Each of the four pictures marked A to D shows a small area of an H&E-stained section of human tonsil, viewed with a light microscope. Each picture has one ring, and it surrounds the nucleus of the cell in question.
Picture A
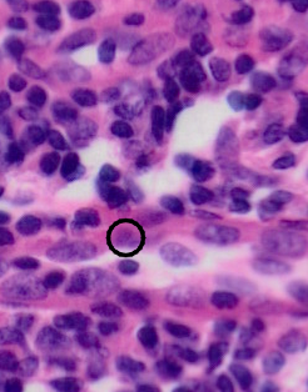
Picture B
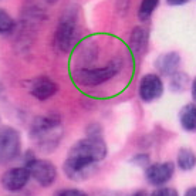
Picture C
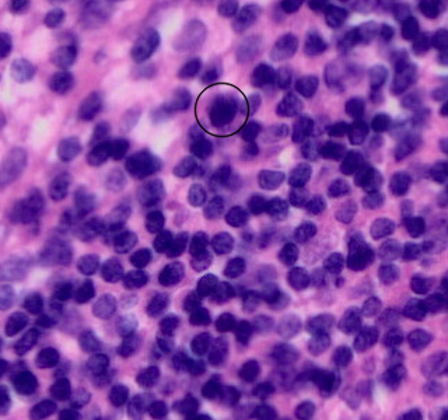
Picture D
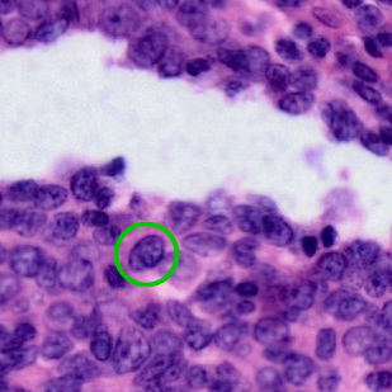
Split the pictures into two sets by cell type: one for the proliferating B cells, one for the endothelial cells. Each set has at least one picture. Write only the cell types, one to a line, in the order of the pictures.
endothelial cell
endothelial cell
proliferating B cell
proliferating B cell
